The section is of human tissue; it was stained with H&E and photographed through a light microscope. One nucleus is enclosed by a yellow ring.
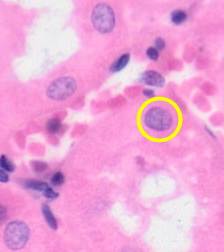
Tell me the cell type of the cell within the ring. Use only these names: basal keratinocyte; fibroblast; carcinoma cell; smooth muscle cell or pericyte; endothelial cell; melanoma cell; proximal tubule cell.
proximal tubule cell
